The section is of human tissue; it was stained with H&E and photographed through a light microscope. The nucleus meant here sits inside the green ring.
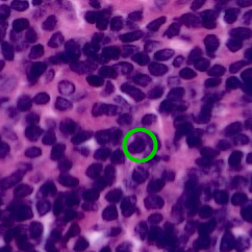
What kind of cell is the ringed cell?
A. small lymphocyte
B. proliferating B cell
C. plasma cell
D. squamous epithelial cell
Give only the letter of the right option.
A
